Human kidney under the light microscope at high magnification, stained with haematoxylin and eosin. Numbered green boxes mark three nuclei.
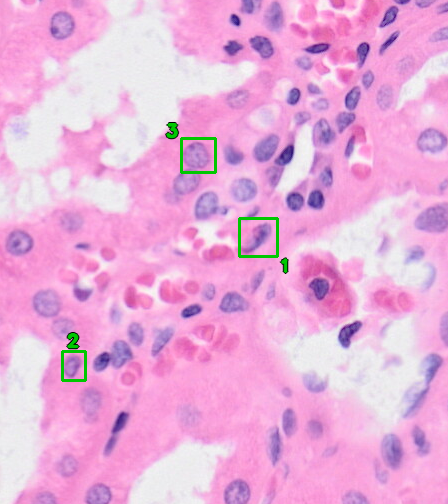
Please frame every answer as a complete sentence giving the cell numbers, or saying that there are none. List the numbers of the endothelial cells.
A single numbered cell, cell 1, is an endothelial cell.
